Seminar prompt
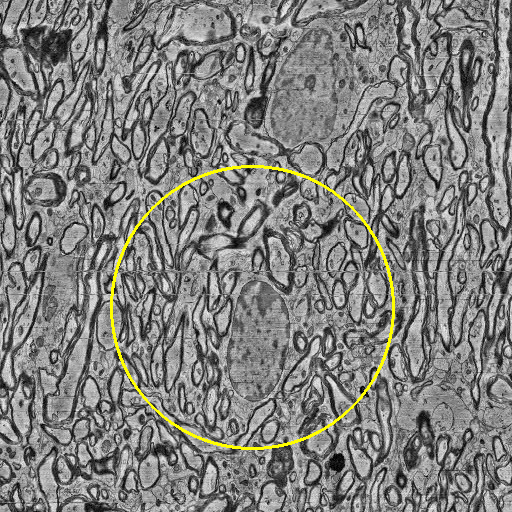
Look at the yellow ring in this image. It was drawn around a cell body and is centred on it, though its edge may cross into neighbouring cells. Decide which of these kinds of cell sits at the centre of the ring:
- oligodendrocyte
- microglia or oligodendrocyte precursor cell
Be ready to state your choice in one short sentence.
The kind of cell at the ring's centre is a microglial cell or oligodendrocyte precursor cell.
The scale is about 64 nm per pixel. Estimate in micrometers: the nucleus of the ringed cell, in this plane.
In this plane the nucleus is about 8 micrometres by 4.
